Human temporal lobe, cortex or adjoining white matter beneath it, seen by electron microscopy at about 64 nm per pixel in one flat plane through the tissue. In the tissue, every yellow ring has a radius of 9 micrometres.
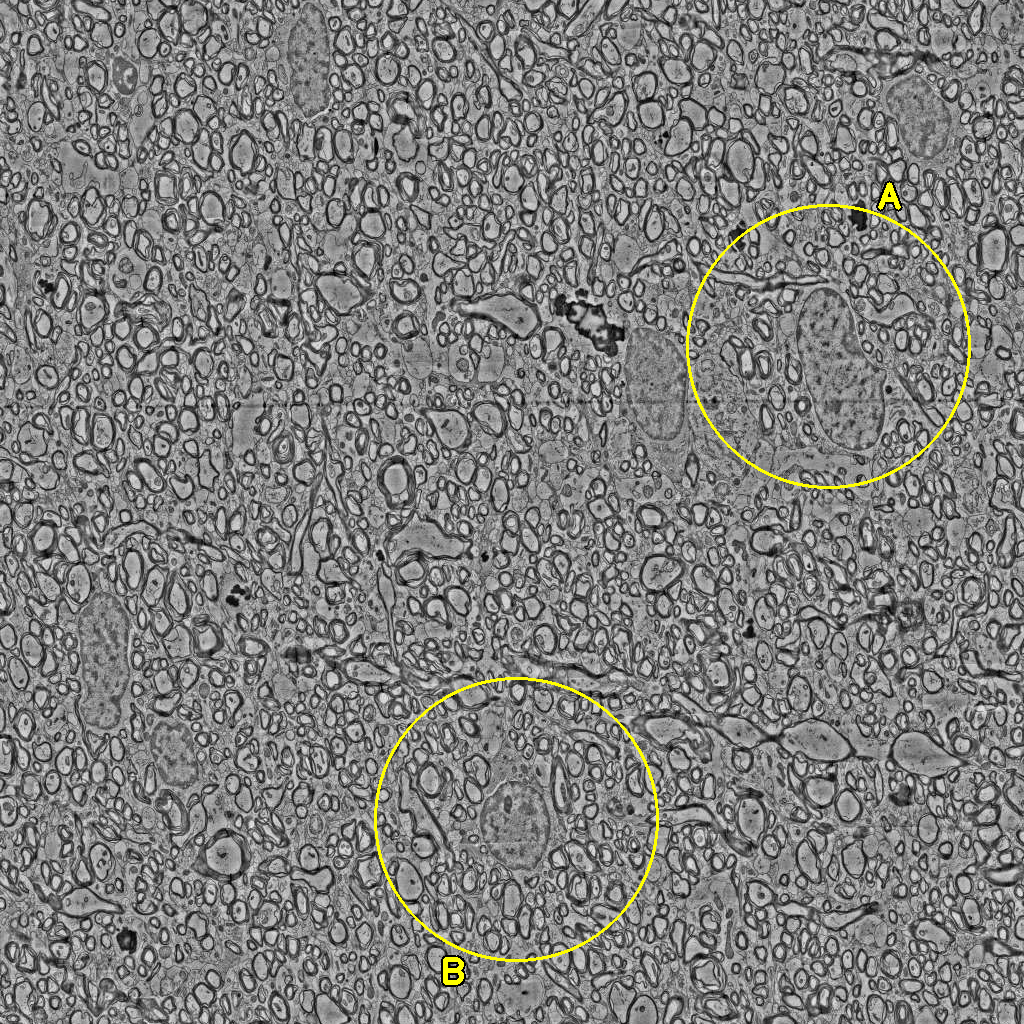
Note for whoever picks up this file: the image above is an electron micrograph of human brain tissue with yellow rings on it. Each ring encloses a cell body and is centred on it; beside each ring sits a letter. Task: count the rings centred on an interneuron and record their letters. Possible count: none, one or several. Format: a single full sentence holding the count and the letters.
Every lettered ring is centred on something other than an interneuron, so the count is zero.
